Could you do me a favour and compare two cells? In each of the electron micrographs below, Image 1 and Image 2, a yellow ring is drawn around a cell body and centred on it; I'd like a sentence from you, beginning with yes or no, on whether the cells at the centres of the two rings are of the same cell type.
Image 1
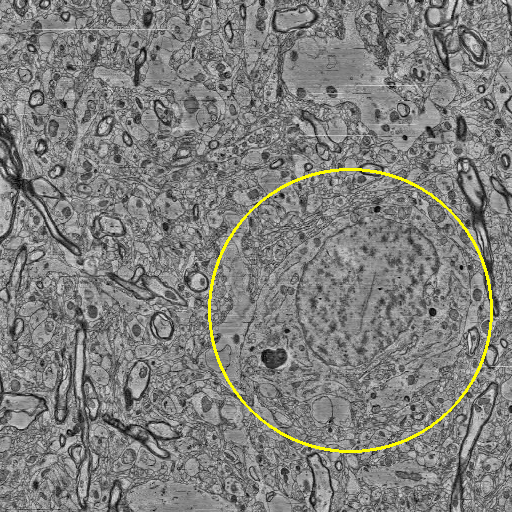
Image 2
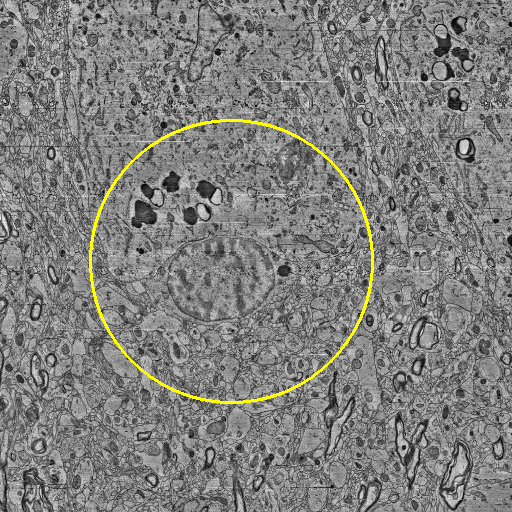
No, the two cells are of two cell types.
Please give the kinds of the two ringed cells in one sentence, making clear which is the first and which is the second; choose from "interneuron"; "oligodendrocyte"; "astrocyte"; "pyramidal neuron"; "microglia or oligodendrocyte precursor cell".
In the second picture the ringed cell is an oligodendrocyte; in the first it is an interneuron.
